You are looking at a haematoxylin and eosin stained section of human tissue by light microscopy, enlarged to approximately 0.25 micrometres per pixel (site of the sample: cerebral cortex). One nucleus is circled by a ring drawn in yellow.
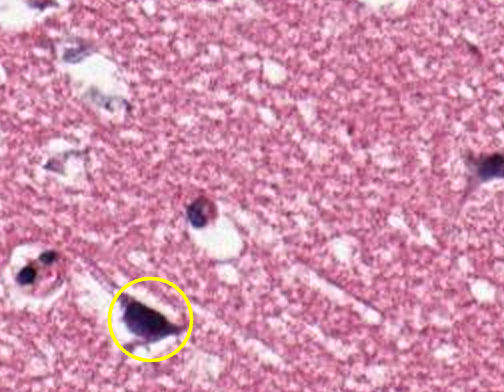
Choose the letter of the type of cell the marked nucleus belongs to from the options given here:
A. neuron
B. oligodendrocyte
A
